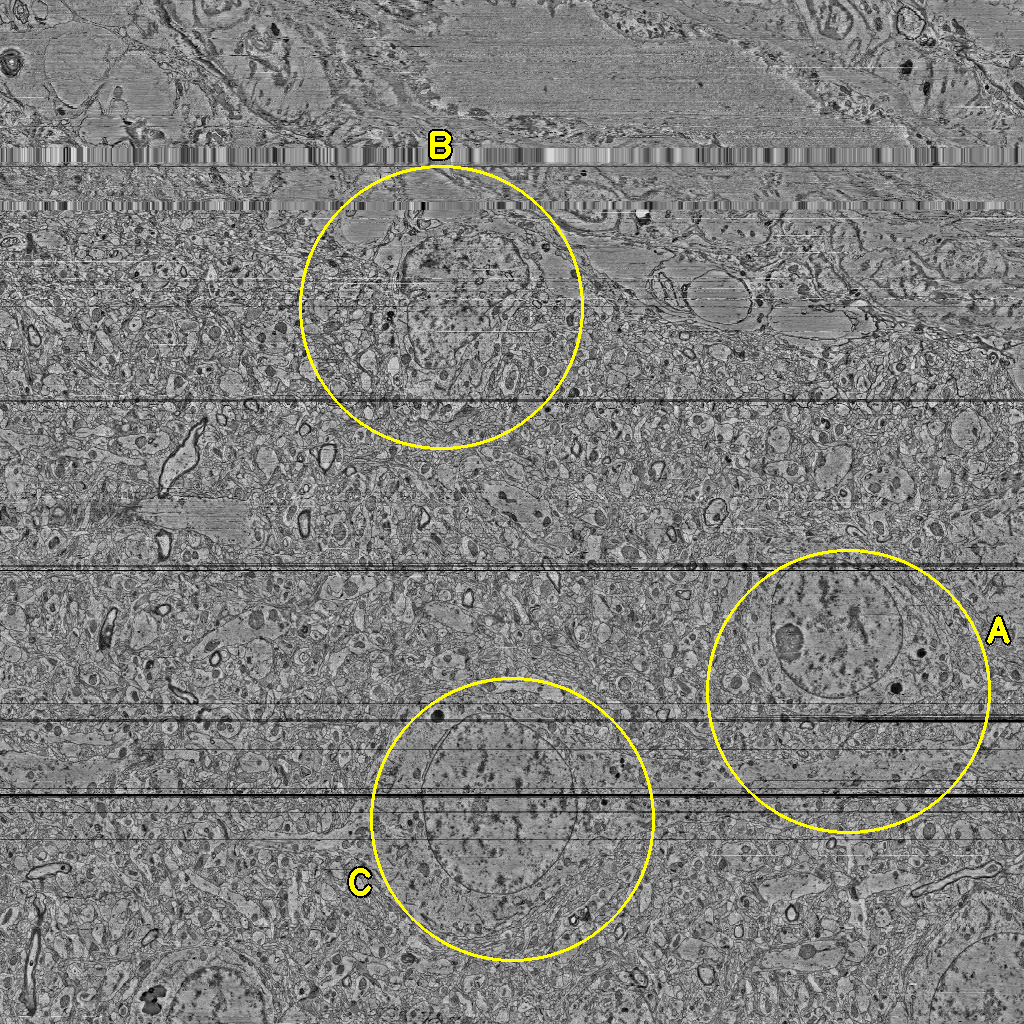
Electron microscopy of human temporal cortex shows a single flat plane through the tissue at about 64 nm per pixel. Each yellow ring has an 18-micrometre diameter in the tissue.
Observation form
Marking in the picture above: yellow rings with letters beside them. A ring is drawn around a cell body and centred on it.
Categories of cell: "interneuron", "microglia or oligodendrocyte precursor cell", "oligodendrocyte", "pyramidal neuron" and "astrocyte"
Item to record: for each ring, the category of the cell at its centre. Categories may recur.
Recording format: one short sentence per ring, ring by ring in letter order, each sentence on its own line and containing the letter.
Ring A is placed on a pyramidal neuron.
Ring B is placed on an interneuron.
Ring C is placed on a pyramidal neuron.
